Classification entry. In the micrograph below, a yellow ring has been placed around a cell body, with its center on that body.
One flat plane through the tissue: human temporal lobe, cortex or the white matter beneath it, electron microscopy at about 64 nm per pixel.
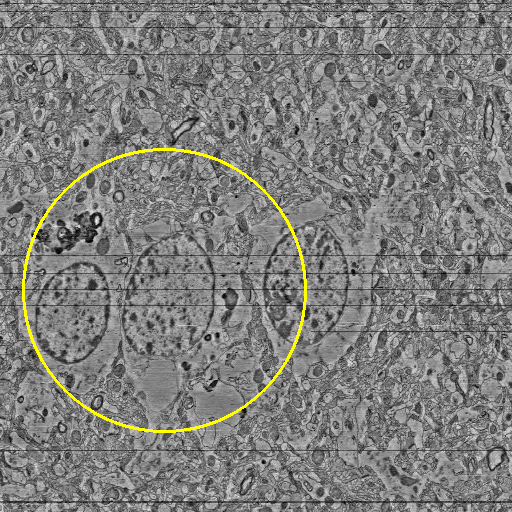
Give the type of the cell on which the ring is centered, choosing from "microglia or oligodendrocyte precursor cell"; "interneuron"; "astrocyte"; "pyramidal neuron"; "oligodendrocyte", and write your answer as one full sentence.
The cell body at the center of the yellow ring belongs to an astrocyte.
